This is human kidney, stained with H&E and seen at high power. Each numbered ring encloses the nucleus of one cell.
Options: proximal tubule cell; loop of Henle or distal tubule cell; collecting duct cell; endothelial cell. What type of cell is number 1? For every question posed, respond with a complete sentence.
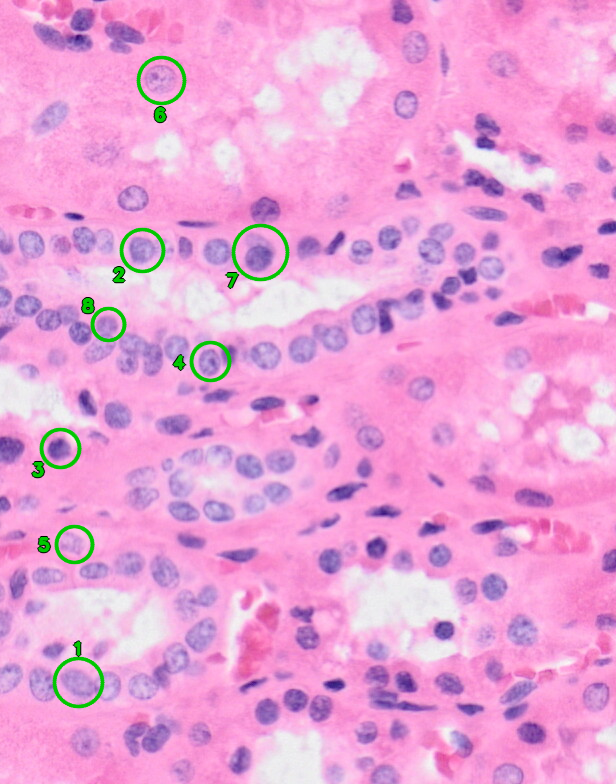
The cell given label 1 is a collecting duct cell.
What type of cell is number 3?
Corresponding to a loop of Henle or distal tubule cell is the cell labelled 3.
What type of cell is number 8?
Identified as a collecting duct cell is the cell bearing the number 8.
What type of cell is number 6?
Within this field of view, the cell labelled 6 is a proximal tubule cell.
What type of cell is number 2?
Recognised here as a collecting duct cell is the cell numbered 2.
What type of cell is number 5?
In the tissue shown, cell 5 is a loop of Henle or distal tubule cell.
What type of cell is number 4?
Cell 4, among those numbered, is a collecting duct cell.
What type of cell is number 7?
The cell indicated with the number 7 is classed as a collecting duct cell.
